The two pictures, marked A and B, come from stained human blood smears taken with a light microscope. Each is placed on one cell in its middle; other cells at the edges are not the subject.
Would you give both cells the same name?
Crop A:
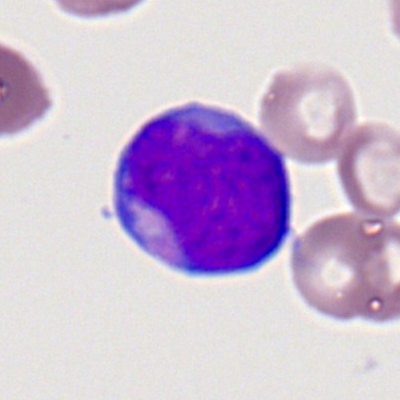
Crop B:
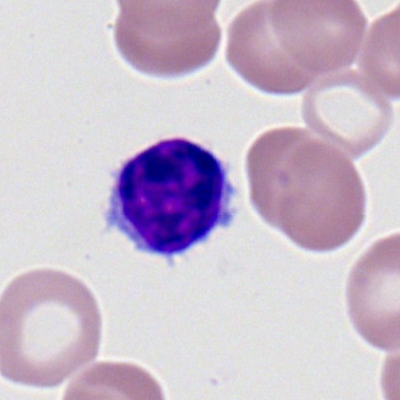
no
